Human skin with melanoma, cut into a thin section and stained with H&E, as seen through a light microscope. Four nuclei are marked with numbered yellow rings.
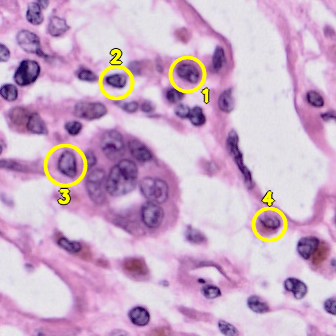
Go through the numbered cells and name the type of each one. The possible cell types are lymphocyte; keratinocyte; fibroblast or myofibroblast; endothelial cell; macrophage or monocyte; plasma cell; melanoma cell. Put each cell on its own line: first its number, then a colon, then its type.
1: macrophage or monocyte
2: lymphocyte
3: macrophage or monocyte
4: macrophage or monocyte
